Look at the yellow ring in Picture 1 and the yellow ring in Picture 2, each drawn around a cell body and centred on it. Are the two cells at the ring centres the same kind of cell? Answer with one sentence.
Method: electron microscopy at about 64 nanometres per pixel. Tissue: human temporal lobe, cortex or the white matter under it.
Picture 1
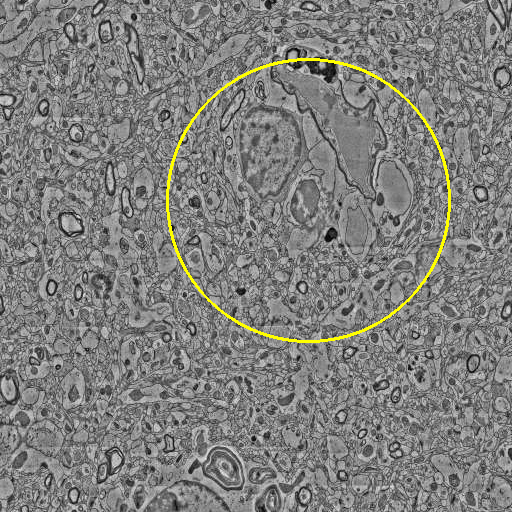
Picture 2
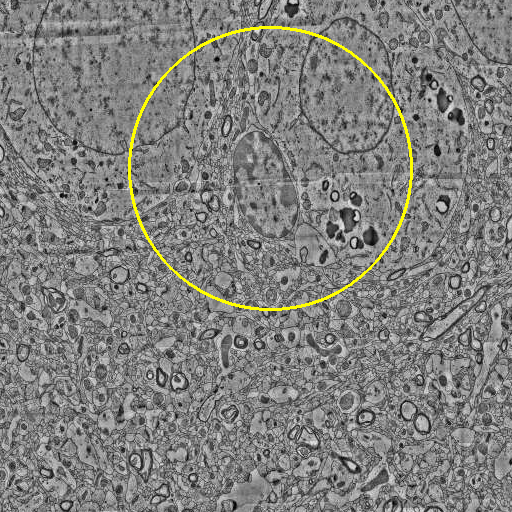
Yes, both are the same kind of cell.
